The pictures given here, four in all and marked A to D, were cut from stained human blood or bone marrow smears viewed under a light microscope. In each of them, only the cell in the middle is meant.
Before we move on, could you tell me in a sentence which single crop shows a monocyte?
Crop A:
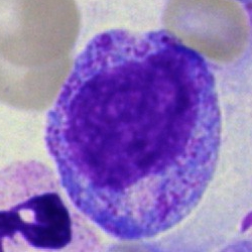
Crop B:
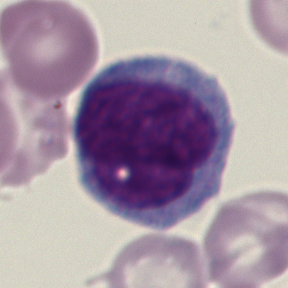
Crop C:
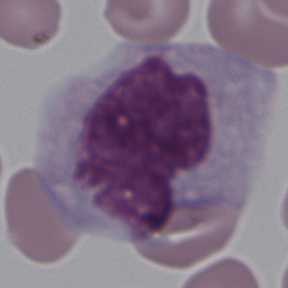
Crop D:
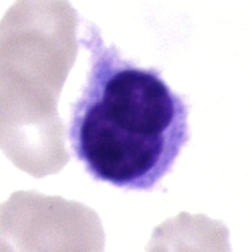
Crop C is the one depicting a monocyte.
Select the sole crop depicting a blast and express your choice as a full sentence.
The crop bearing a blast is crop B.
